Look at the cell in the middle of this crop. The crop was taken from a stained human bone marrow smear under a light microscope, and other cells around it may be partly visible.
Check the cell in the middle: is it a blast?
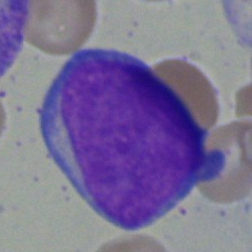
yes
